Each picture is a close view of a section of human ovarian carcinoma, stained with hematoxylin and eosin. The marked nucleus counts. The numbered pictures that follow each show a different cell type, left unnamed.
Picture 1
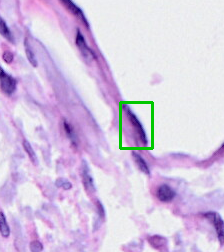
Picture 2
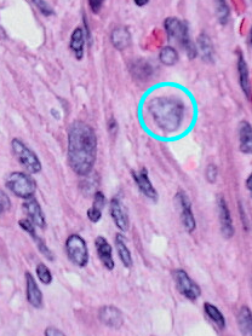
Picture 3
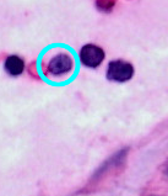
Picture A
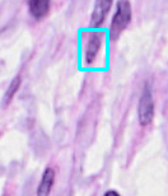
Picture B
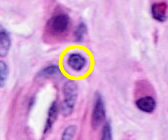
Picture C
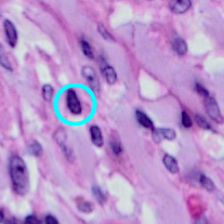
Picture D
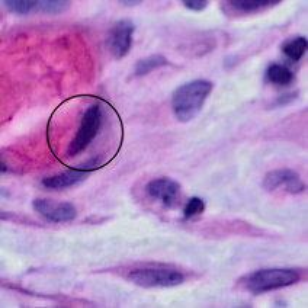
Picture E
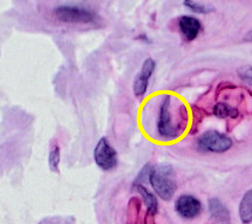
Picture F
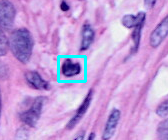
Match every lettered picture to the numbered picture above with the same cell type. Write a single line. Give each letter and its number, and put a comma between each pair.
A 2, B 3, C 3, D 1, E 1, F 3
